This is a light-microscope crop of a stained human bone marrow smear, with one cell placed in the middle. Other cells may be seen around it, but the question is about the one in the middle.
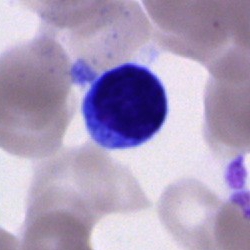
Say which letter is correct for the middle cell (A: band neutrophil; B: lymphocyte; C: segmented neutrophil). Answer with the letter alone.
B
